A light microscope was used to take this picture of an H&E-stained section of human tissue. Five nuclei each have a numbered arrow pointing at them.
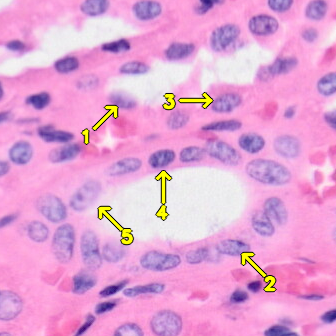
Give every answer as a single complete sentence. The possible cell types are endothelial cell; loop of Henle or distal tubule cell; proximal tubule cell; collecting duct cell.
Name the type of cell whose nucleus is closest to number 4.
It is a collecting duct cell whose nucleus is nearest to number 4.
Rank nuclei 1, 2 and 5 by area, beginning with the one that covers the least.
Smallest first, the nuclei run 1, 2, 5.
